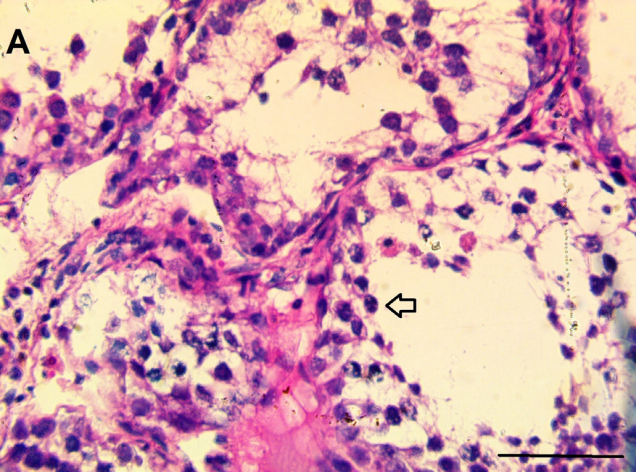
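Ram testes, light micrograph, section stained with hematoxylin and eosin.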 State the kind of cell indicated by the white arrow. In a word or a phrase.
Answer: Spermatocytes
